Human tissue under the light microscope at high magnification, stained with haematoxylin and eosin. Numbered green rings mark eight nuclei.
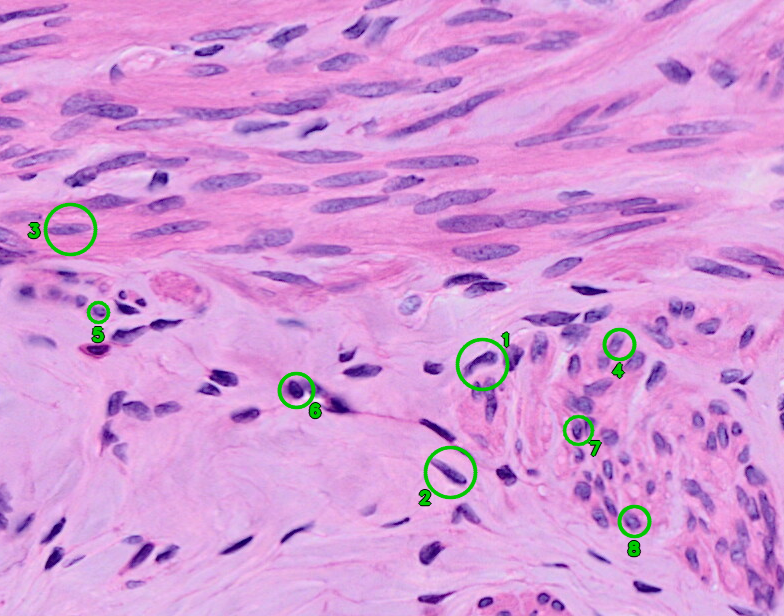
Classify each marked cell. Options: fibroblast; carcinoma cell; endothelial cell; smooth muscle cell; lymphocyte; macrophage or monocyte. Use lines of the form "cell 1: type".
cell 1: fibroblast
cell 2: fibroblast
cell 3: smooth muscle cell
cell 4: smooth muscle cell
cell 5: smooth muscle cell
cell 6: lymphocyte
cell 7: smooth muscle cell
cell 8: smooth muscle cell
